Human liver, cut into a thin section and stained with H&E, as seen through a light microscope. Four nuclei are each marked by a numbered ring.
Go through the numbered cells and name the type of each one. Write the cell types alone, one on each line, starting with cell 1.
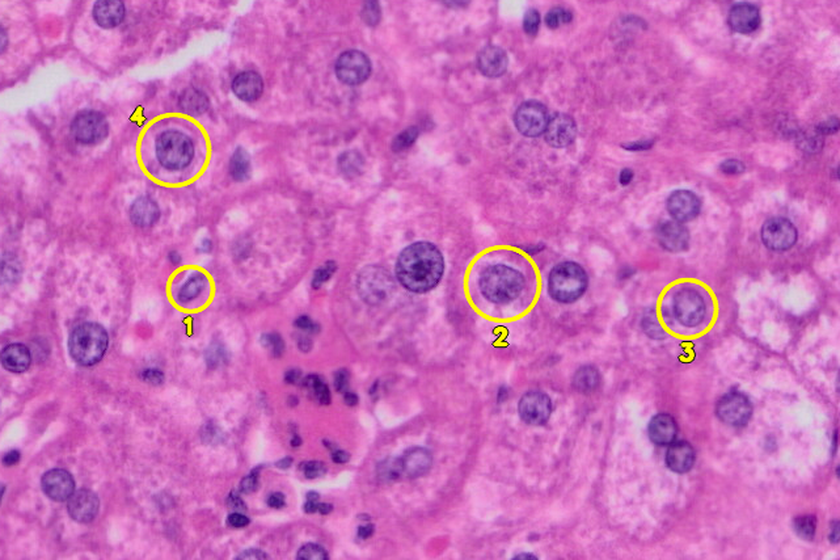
Kupffer cell
hepatocyte
hepatocyte
hepatocyte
